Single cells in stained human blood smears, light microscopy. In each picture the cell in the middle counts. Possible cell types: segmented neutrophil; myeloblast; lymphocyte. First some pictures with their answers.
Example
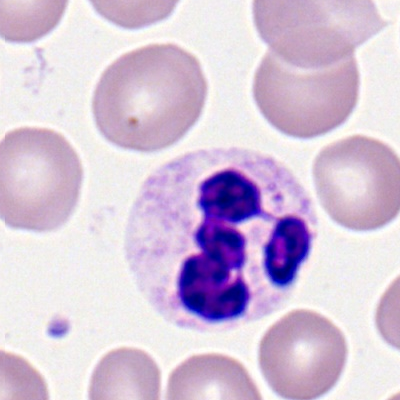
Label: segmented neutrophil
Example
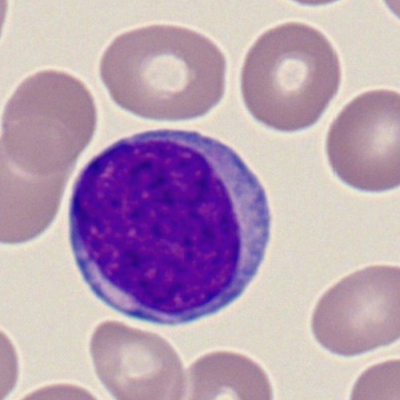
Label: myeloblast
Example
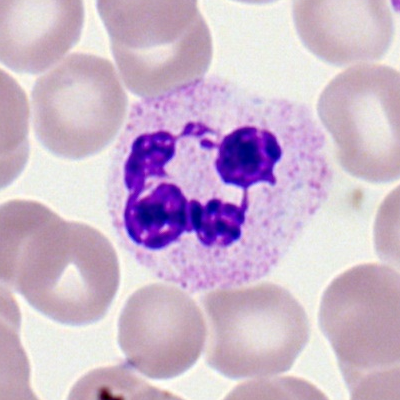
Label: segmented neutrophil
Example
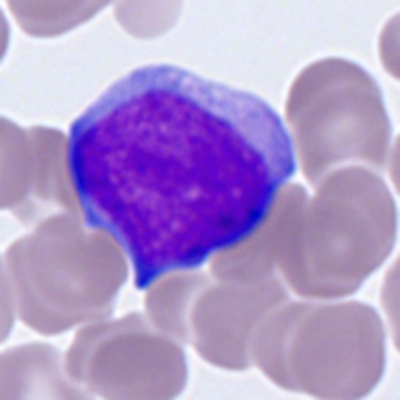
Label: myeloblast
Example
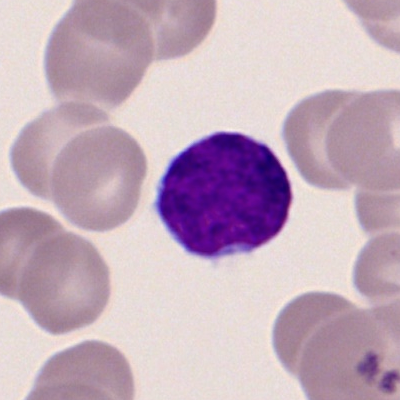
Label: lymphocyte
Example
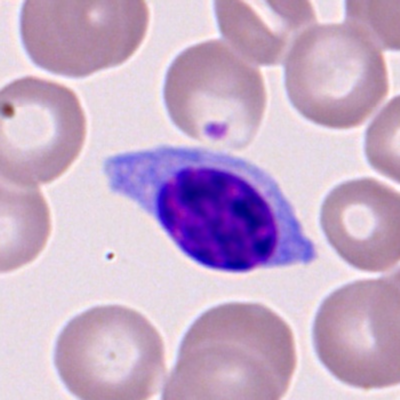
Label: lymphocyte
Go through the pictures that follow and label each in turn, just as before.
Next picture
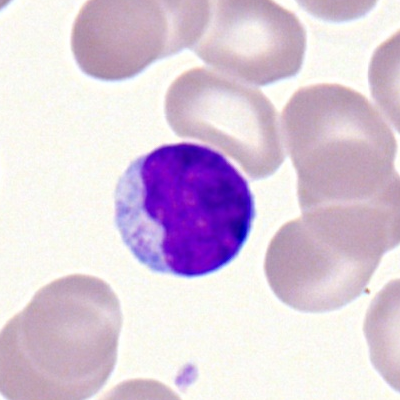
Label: lymphocyte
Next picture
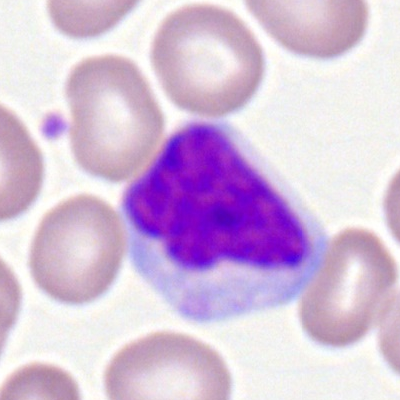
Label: lymphocyte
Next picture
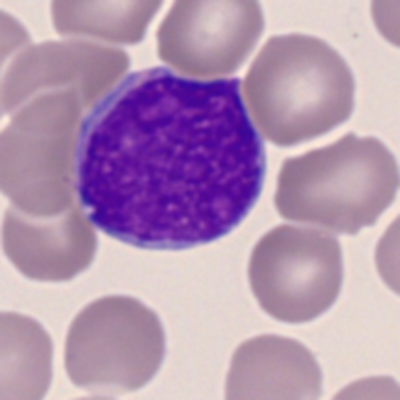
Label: myeloblast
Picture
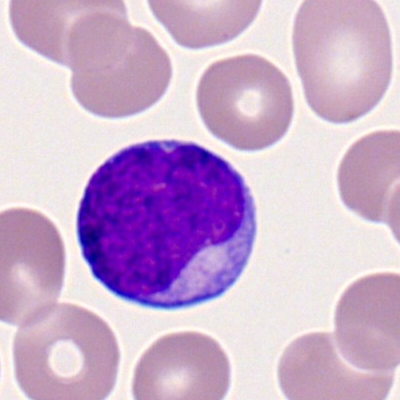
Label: myeloblast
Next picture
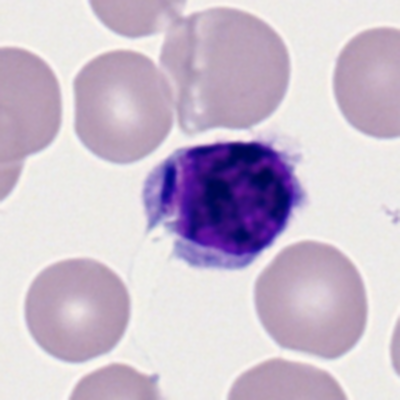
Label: lymphocyte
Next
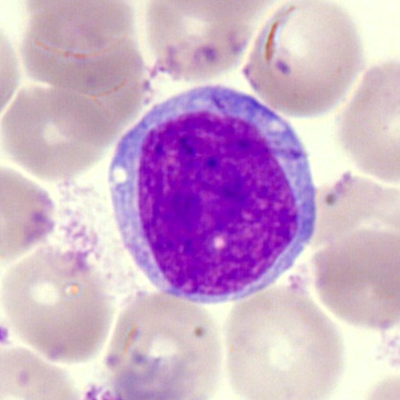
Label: myeloblast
